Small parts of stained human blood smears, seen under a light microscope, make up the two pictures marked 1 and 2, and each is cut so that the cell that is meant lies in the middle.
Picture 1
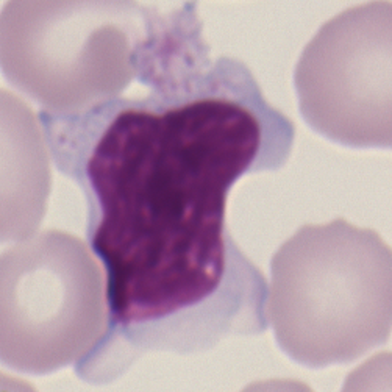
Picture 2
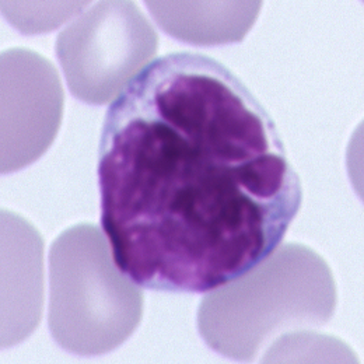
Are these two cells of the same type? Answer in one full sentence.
Yes, the two pictures both show large granular lymphocytes.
